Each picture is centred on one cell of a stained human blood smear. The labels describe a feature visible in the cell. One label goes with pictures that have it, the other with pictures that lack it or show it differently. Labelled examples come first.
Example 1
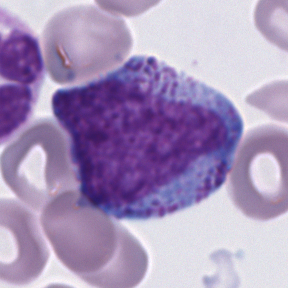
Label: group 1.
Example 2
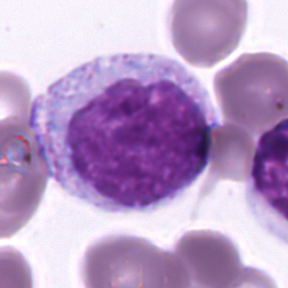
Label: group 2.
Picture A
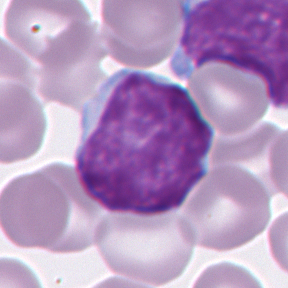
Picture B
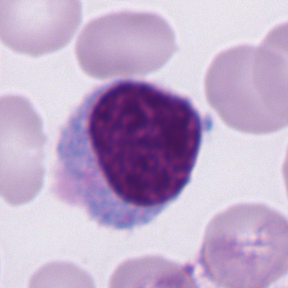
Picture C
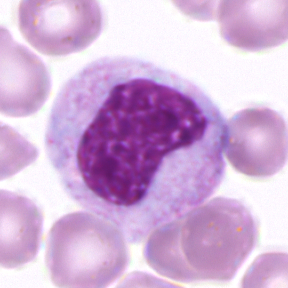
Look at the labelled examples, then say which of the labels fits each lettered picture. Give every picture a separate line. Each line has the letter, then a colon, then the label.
A: group 1.
B: group 2.
C: group 2.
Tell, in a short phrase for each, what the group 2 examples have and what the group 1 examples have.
In group 2: abundant cytoplasm. In group 1: scant cytoplasm.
